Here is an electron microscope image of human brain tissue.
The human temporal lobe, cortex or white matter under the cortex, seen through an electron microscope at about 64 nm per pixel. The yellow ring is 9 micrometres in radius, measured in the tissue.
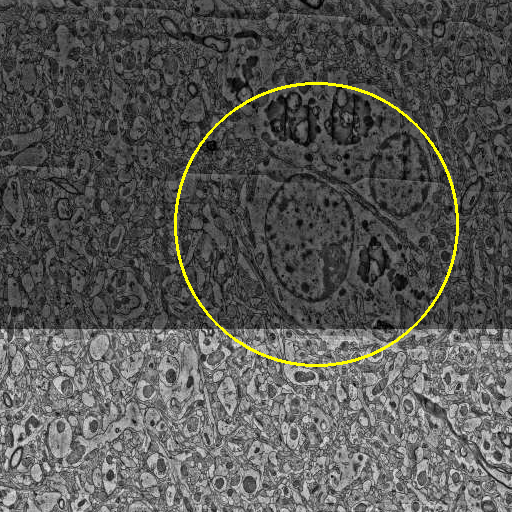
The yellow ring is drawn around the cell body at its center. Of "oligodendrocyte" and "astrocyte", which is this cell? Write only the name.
astrocyte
